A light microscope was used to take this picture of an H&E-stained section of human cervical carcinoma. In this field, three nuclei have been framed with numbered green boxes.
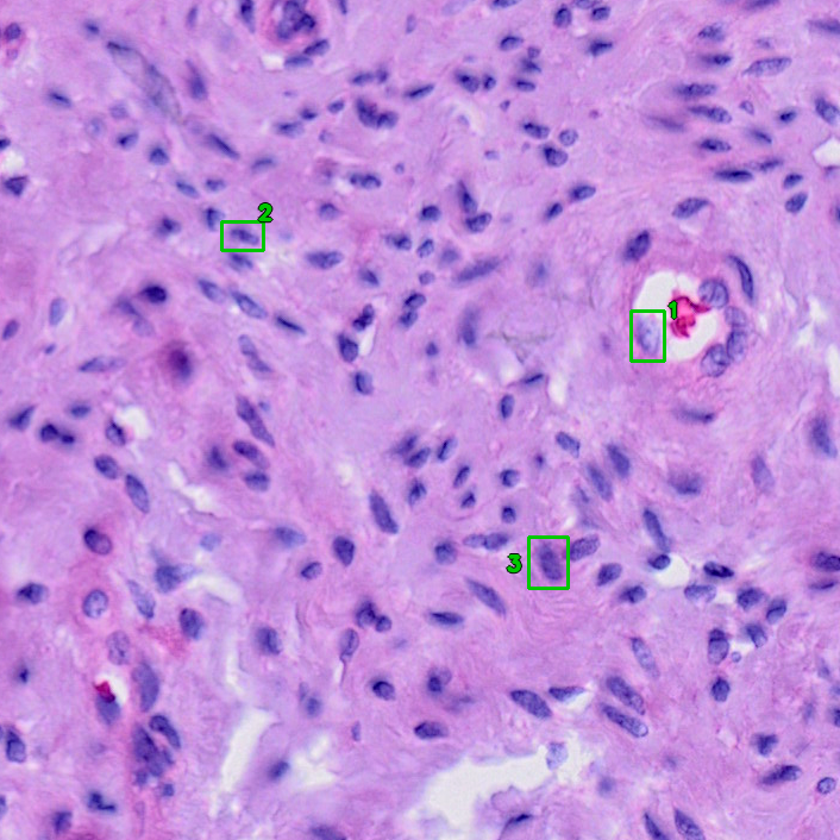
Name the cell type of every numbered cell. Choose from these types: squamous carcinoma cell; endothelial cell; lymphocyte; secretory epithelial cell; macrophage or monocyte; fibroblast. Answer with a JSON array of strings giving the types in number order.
["endothelial cell", "fibroblast", "fibroblast"]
